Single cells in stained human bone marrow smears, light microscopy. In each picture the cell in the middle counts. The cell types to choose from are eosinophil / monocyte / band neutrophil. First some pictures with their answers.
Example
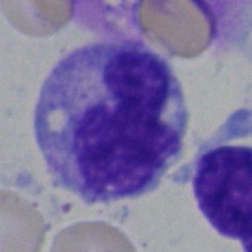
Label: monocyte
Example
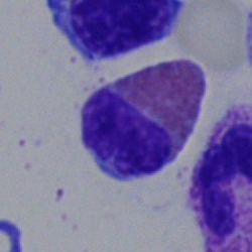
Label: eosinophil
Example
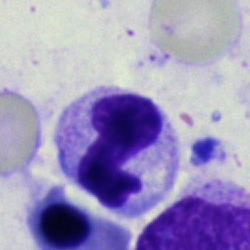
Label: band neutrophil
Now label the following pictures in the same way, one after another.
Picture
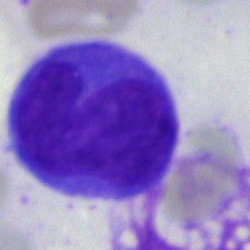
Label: monocyte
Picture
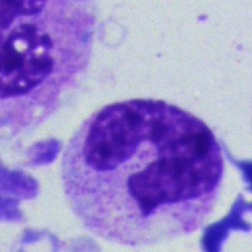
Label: band neutrophil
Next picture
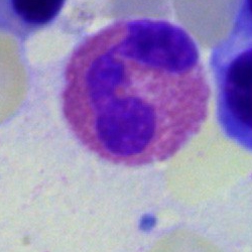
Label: eosinophil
